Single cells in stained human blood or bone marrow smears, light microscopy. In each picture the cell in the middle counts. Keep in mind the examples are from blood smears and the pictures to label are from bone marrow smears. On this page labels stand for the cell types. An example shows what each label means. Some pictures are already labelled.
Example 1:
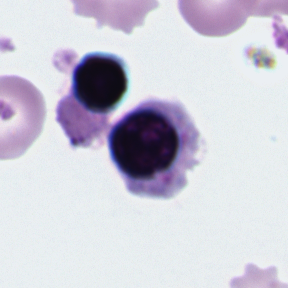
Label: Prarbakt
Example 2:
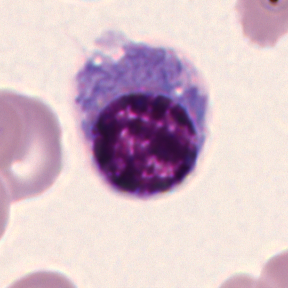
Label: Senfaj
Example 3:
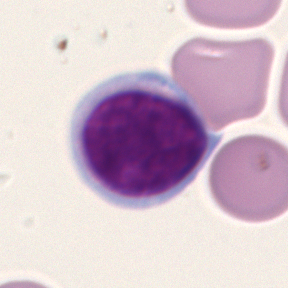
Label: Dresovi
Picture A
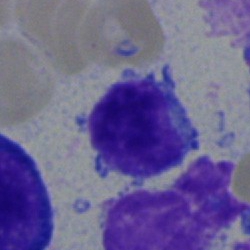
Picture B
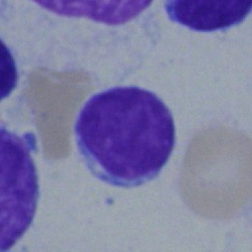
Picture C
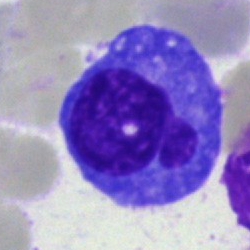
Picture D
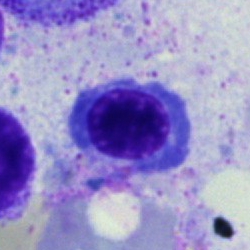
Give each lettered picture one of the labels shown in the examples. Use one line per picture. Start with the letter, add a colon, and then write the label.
A: Dresovi
B: Dresovi
C: Senfaj
D: Prarbakt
